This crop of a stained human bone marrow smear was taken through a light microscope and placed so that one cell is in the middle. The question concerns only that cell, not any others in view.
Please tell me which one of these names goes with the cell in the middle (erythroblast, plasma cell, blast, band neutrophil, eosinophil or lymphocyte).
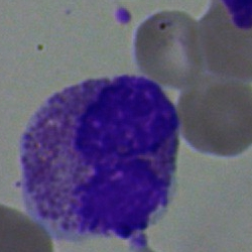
eosinophil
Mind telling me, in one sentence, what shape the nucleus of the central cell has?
The nuclear outline breaks up into two or more lobes.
